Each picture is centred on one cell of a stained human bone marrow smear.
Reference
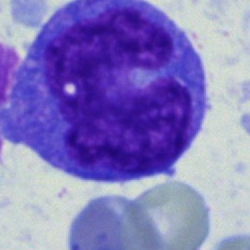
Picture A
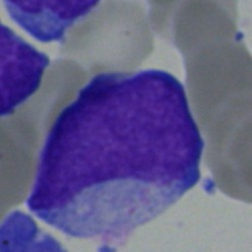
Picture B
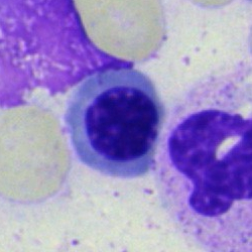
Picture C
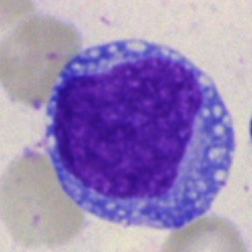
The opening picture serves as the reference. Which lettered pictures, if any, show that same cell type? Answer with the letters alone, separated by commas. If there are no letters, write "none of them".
none of them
